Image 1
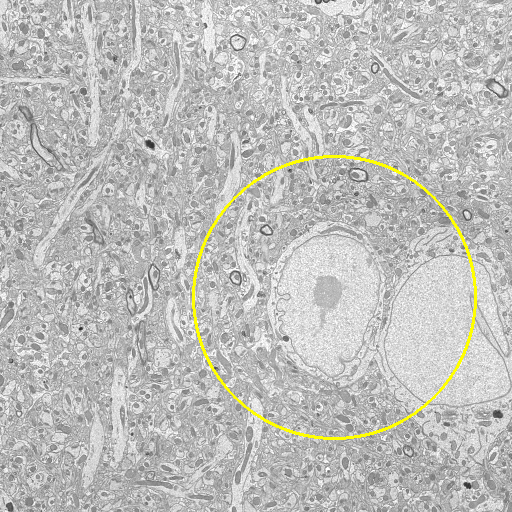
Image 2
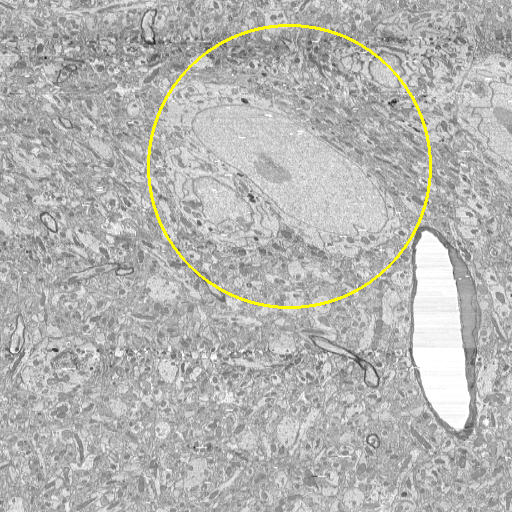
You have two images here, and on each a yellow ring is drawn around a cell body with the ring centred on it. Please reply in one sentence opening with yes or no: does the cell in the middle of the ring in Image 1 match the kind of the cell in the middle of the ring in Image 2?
No, the two images show cells of two kinds at the centres of their rings.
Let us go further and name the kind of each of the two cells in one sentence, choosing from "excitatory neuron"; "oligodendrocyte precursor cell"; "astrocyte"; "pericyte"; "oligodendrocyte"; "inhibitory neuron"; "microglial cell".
The ring of the first picture is on an inhibitory neuron, the ring of the second on an excitatory neuron.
